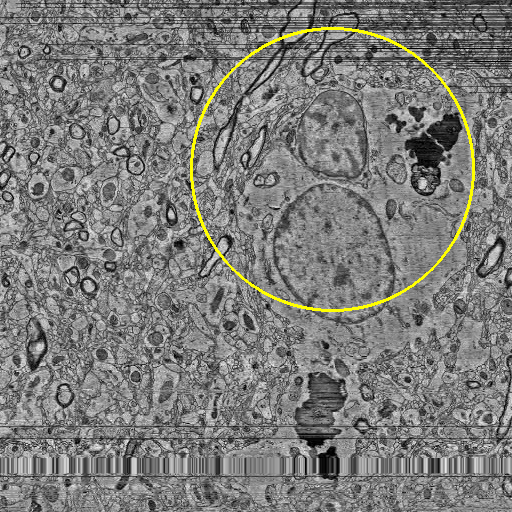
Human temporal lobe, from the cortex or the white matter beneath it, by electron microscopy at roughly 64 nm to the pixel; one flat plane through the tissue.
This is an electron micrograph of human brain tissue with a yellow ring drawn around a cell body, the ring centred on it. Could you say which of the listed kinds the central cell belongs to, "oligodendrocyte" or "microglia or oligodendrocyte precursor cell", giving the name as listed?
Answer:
microglia or oligodendrocyte precursor cell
